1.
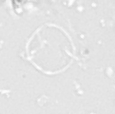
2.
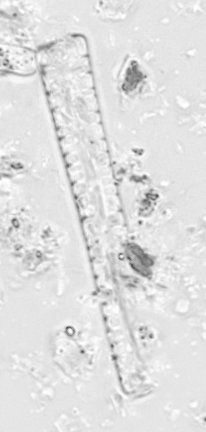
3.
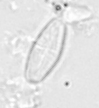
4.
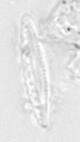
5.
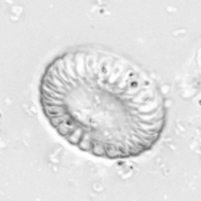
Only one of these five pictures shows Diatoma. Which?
Picture 2.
